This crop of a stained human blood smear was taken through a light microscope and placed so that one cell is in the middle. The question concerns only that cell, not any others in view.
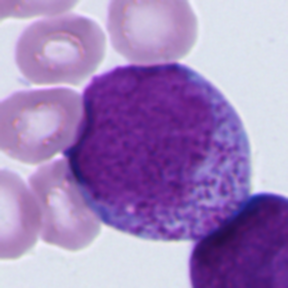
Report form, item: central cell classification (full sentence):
At the center of the crop sits a promyelocyte.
